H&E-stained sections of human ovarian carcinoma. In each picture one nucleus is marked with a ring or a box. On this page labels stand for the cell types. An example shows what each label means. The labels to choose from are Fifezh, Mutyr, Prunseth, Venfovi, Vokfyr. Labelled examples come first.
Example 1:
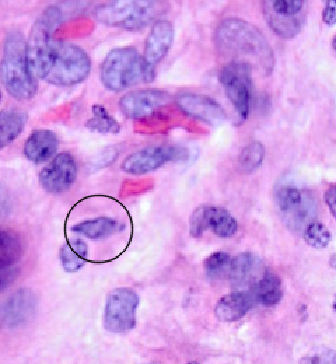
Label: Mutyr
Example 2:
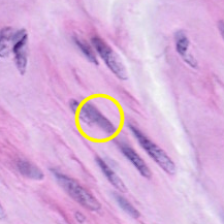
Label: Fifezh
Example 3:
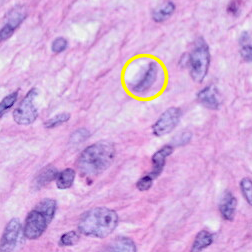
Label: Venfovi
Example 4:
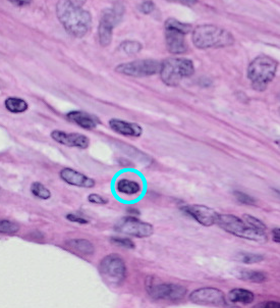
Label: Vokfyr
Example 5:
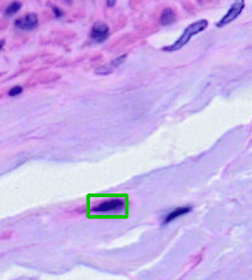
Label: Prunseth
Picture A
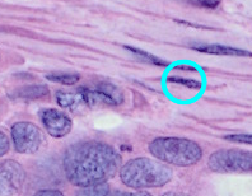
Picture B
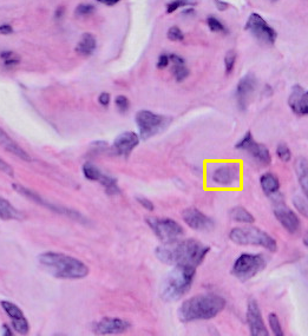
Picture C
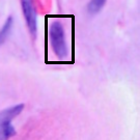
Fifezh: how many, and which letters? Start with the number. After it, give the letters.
1: B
